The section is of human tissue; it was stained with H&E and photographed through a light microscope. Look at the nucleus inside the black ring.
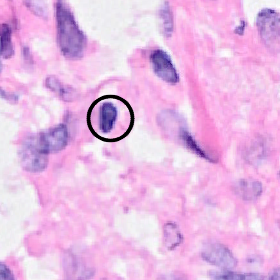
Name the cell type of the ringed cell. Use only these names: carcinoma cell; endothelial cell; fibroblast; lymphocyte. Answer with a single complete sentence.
The correct response here is that the ringed cell is a lymphocyte.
